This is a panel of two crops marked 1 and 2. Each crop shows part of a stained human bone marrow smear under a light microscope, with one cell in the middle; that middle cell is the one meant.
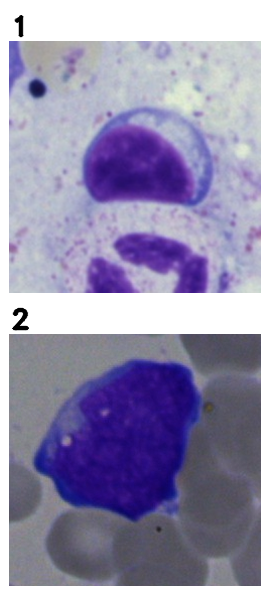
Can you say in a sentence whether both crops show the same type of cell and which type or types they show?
No, crop 1 presents a lymphocyte; crop 2 presents a blast.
